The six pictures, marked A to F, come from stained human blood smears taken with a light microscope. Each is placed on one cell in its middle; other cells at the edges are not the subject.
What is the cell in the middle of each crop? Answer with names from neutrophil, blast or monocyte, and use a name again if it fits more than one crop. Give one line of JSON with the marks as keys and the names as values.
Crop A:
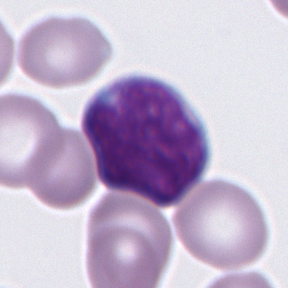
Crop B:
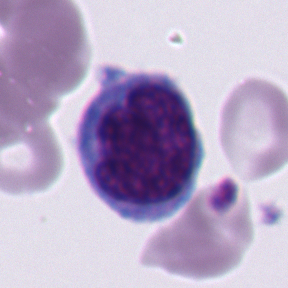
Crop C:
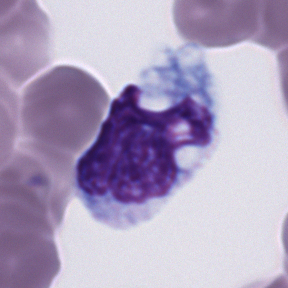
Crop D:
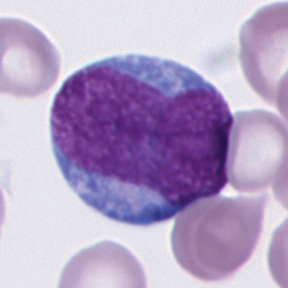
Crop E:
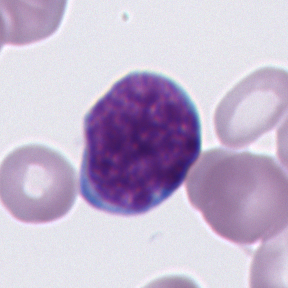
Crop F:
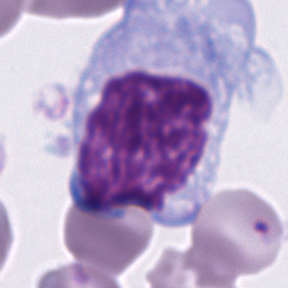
{"A": "blast", "B": "monocyte", "C": "monocyte", "D": "blast", "E": "blast", "F": "monocyte"}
